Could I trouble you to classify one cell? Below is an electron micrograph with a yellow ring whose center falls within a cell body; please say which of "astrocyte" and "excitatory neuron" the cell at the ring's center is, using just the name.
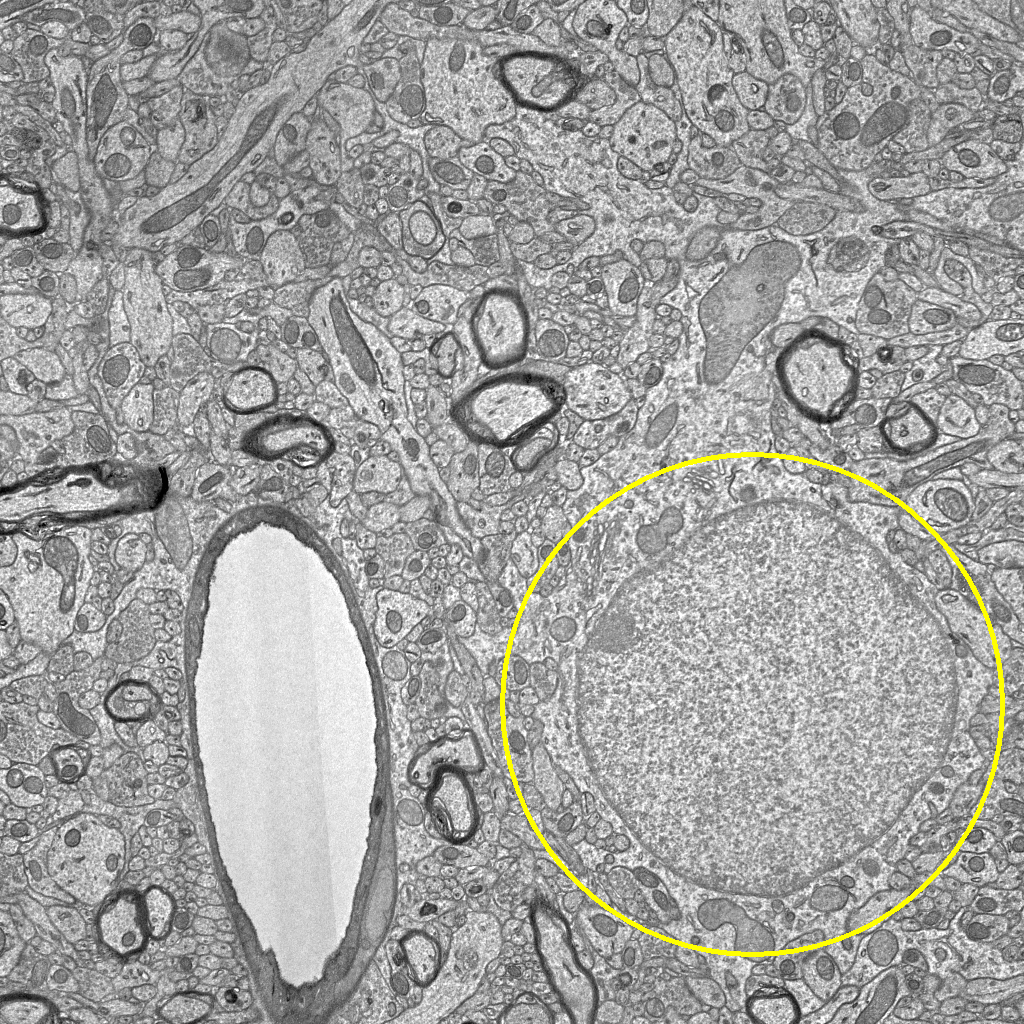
astrocyte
